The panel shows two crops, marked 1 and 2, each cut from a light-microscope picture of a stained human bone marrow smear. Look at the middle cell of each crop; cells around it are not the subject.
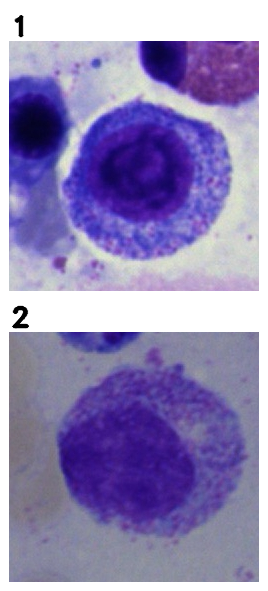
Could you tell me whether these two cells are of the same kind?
no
